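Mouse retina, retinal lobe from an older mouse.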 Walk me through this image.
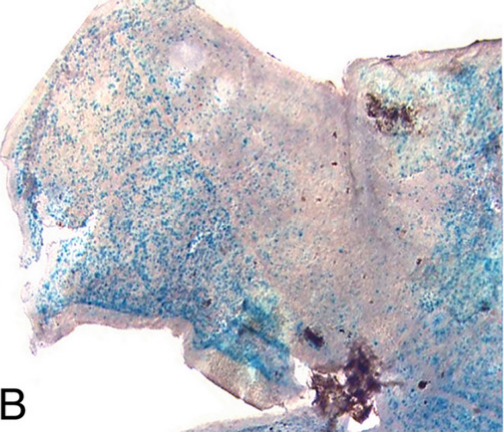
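In the central sector the tissue is pale tan with few blue dots. Along the left and lower margins the fine blue dots remain crowded. Dark brown pigmented clumps lie at the bottom and upper right.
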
